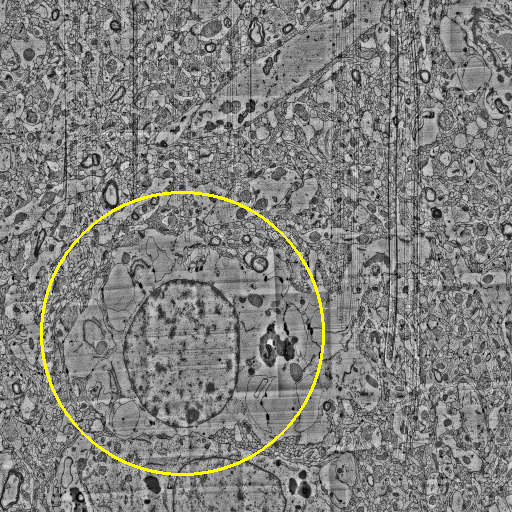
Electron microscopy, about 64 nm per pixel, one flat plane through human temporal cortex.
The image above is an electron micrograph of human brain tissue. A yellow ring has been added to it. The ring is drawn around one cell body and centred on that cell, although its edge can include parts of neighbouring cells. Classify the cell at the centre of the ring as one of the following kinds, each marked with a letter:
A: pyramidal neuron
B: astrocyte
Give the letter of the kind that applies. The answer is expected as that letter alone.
B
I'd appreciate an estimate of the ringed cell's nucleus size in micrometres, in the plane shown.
About 9 micrometres by about 8 micrometres in this plane.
